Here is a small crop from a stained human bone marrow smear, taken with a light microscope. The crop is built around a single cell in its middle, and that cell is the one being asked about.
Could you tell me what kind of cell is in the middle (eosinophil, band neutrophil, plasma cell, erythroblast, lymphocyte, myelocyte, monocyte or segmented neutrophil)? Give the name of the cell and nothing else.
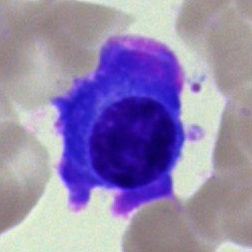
plasma cell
